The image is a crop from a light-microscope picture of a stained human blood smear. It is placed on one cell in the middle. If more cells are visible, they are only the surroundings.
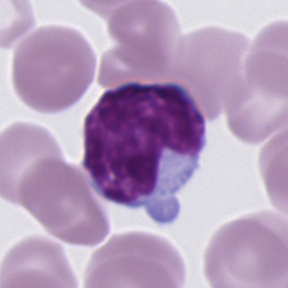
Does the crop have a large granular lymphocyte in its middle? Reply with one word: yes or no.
yes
